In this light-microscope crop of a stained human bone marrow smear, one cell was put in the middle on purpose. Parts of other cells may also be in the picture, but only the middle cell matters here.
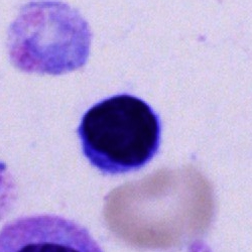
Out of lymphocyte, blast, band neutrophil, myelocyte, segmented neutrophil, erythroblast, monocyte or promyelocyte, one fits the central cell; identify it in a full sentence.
Here the centrally located cell is a lymphocyte.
